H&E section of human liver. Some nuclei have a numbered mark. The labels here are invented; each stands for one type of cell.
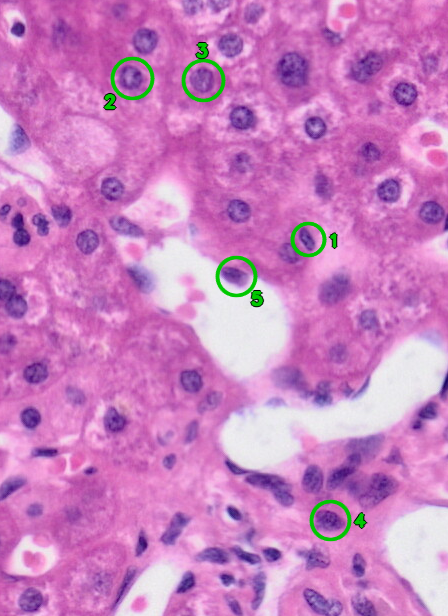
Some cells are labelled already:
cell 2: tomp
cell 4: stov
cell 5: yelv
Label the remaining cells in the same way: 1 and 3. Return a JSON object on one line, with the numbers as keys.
{"1": "stov", "3": "tomp"}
